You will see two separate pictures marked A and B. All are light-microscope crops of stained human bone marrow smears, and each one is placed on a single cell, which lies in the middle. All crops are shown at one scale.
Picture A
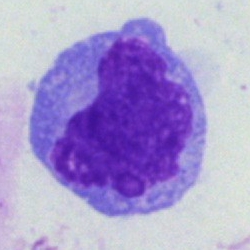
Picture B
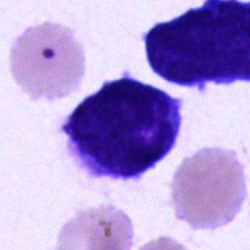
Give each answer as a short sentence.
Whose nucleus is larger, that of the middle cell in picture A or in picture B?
Larger is the nucleus in picture A, at roughly 2 times the area of the other.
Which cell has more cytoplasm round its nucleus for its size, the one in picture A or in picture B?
It is the cell in picture A that is filled less by its nucleus.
